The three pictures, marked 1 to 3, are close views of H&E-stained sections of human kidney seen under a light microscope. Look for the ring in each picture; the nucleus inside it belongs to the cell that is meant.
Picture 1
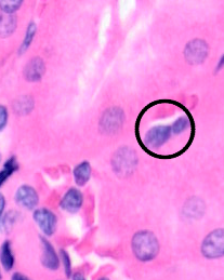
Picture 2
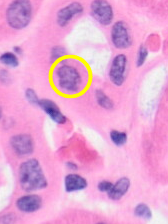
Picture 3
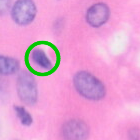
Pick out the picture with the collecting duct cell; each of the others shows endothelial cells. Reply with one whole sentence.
Picture 2 shows the collecting duct cell.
